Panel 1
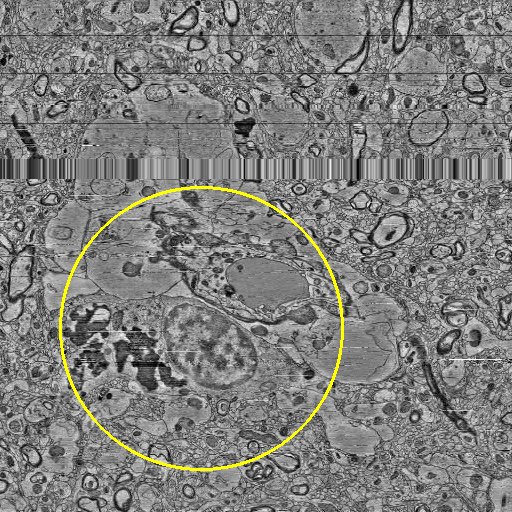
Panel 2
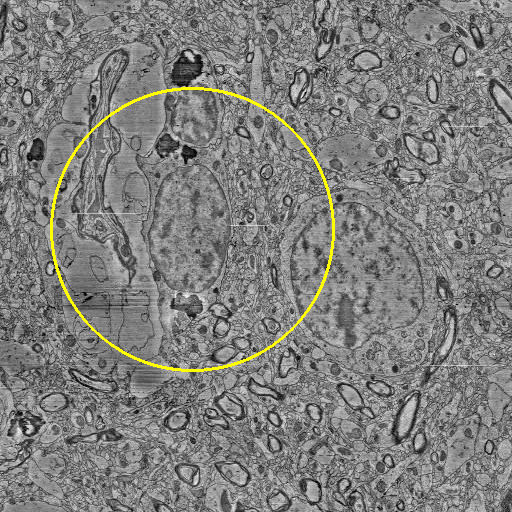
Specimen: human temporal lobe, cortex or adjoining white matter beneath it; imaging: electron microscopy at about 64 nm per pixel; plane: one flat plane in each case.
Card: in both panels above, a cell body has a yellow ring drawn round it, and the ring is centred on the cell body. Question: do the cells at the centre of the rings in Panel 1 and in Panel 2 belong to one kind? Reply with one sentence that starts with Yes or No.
Yes, the cells centred in the rings of Panel 1 and Panel 2 are one kind of cell.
